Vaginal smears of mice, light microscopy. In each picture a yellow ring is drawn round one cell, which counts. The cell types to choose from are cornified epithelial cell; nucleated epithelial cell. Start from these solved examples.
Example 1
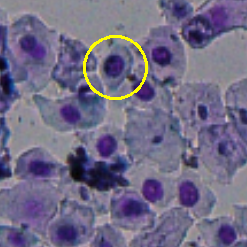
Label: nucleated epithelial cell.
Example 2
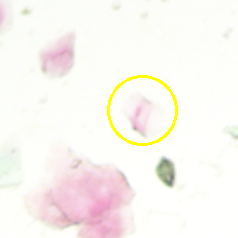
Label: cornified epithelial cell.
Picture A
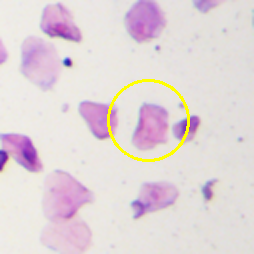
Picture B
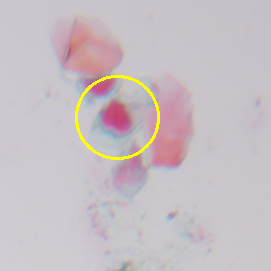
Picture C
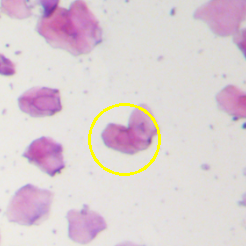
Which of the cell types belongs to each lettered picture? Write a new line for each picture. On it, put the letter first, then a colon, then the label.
A: cornified epithelial cell.
B: nucleated epithelial cell.
C: cornified epithelial cell.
